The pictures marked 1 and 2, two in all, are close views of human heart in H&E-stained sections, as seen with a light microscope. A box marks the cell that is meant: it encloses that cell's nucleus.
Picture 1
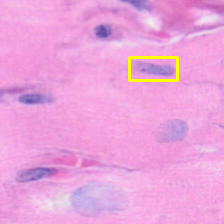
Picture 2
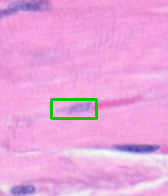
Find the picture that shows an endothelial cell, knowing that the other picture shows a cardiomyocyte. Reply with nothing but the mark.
2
